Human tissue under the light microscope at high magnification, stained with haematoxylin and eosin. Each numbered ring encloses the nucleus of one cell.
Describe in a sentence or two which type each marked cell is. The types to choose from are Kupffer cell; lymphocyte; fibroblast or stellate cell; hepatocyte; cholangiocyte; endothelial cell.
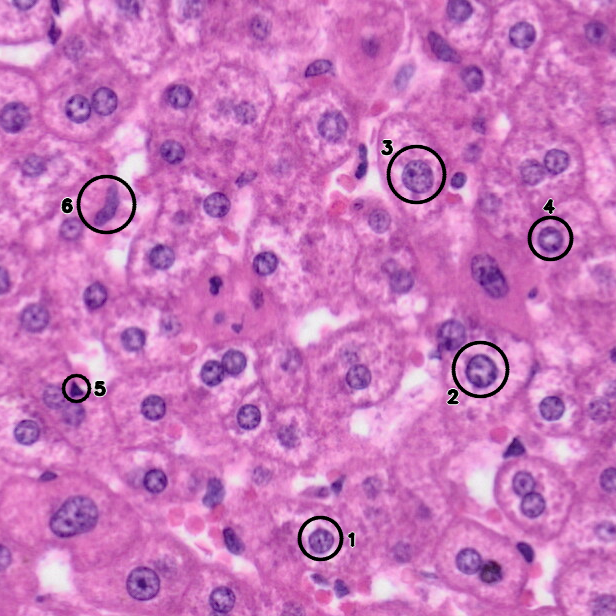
Cell 1 is a hepatocyte, cell 2 is a hepatocyte, cell 3 is a hepatocyte, cell 4 is a hepatocyte, cell 5 is a fibroblast or stellate cell and cell 6 is a Kupffer cell.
